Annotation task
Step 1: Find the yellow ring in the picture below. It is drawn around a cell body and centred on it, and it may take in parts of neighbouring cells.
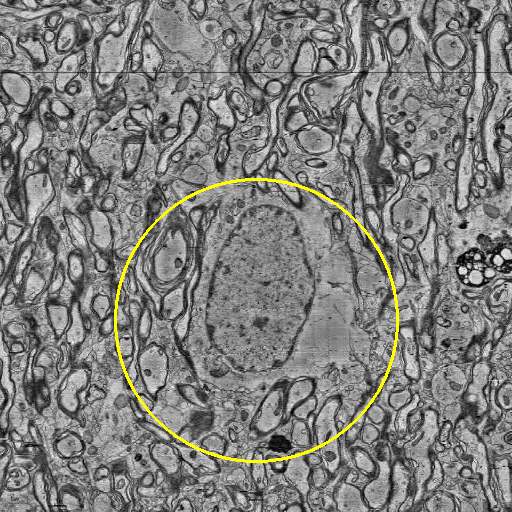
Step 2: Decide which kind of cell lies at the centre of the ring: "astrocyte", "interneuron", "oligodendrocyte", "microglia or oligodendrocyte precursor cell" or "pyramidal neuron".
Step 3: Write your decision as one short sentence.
The kind of cell at the ring's centre is an astrocyte.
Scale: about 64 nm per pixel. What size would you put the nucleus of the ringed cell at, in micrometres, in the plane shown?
About 11 by 7 micrometers; the nucleus is clearly longer than it is wide in this plane.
